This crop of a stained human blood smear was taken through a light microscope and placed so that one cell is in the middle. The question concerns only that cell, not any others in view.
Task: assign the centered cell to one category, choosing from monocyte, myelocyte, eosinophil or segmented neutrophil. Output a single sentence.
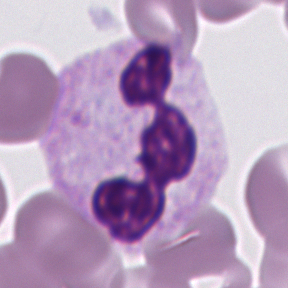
The center cell of this crop is a segmented neutrophil.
